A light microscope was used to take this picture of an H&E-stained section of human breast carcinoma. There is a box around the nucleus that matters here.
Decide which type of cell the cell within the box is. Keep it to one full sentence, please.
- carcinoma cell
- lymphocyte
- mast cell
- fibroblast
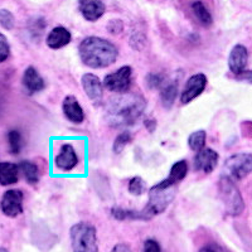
In short, the cell within the box on this section is a lymphocyte.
